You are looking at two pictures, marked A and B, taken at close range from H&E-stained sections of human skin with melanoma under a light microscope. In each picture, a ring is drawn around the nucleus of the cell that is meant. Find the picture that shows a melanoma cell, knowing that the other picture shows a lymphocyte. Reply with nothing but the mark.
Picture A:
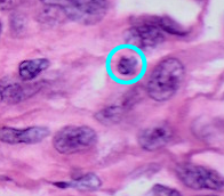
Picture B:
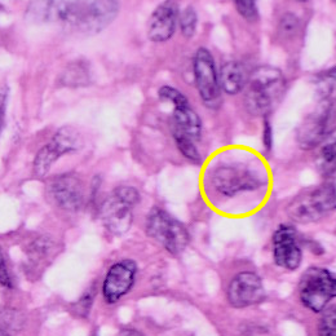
B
